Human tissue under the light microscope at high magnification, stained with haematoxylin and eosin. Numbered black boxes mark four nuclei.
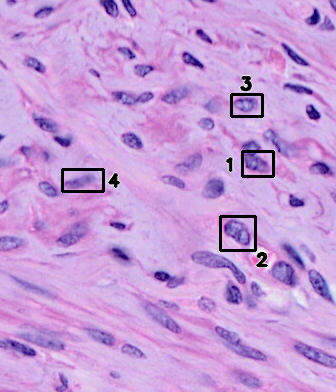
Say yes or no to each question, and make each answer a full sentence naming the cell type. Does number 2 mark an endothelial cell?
Yes, the cell distinguished by number 2 is an endothelial cell.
